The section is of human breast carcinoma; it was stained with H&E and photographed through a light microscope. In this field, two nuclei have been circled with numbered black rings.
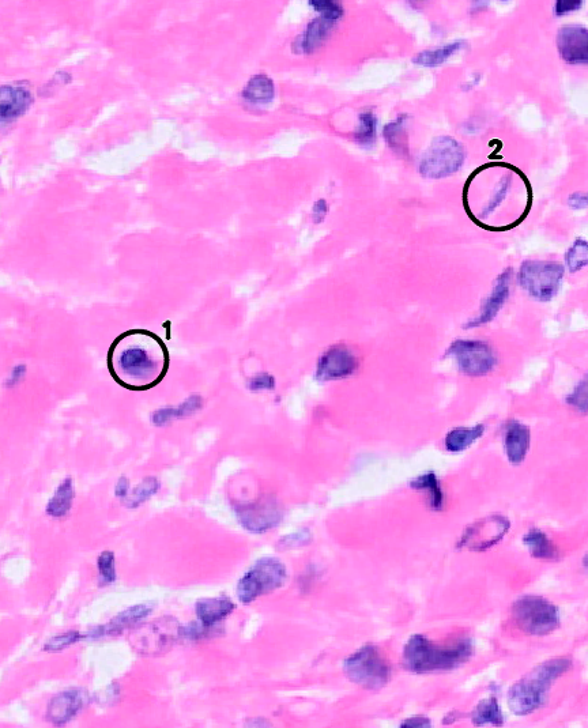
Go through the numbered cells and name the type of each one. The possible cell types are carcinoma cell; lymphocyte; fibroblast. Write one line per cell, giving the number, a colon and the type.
1: lymphocyte
2: fibroblast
